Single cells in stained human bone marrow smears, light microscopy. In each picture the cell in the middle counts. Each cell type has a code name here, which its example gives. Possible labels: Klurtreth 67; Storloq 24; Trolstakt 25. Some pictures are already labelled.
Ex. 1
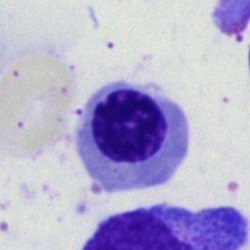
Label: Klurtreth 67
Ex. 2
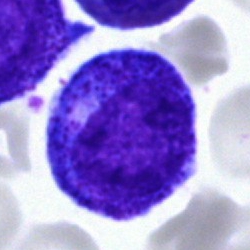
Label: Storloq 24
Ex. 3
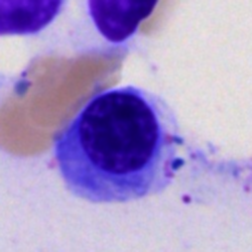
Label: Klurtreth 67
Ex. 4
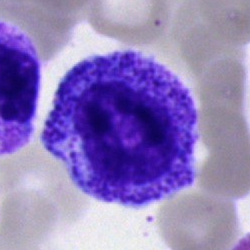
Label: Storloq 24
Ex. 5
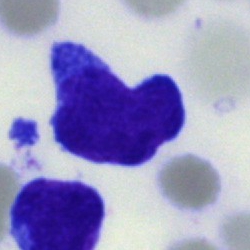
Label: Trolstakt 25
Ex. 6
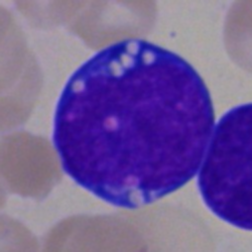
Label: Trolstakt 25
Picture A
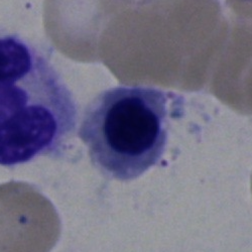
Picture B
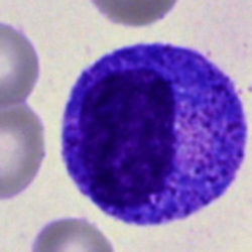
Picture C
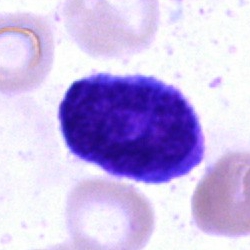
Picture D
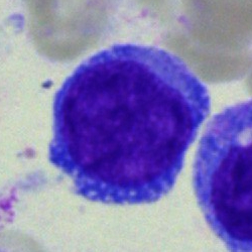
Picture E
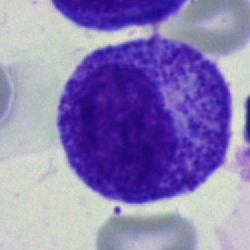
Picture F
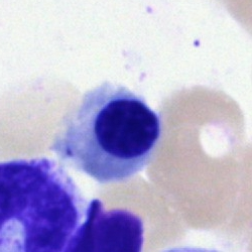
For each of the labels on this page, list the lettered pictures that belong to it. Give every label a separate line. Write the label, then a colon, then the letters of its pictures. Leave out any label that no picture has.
Klurtreth 67: A, F
Storloq 24: B, E
Trolstakt 25: C, D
